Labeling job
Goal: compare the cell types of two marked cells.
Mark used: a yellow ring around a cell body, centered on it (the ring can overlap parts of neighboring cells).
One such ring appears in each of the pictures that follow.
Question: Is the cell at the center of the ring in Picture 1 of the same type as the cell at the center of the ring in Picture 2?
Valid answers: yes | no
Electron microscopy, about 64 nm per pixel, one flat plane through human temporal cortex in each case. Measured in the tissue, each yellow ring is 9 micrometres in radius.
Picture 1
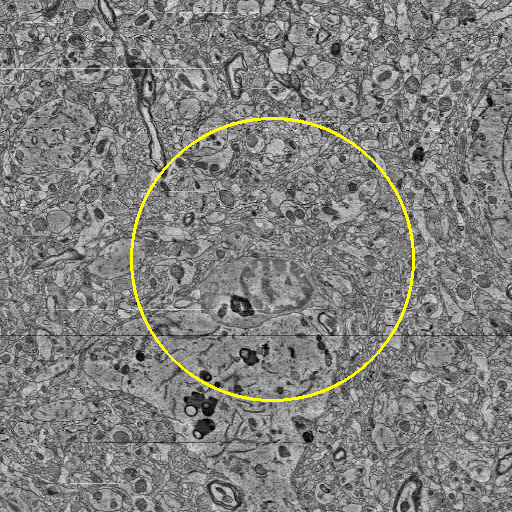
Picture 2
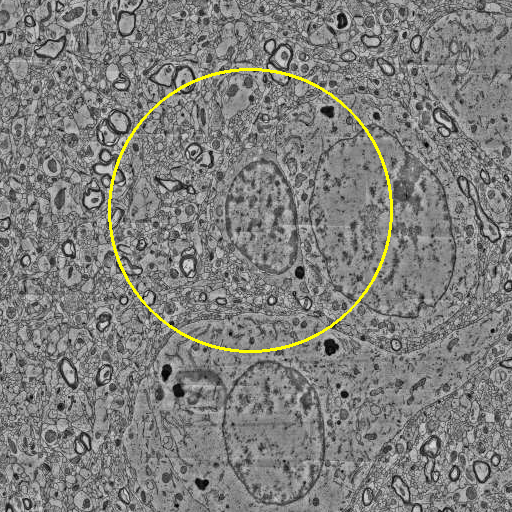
yes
